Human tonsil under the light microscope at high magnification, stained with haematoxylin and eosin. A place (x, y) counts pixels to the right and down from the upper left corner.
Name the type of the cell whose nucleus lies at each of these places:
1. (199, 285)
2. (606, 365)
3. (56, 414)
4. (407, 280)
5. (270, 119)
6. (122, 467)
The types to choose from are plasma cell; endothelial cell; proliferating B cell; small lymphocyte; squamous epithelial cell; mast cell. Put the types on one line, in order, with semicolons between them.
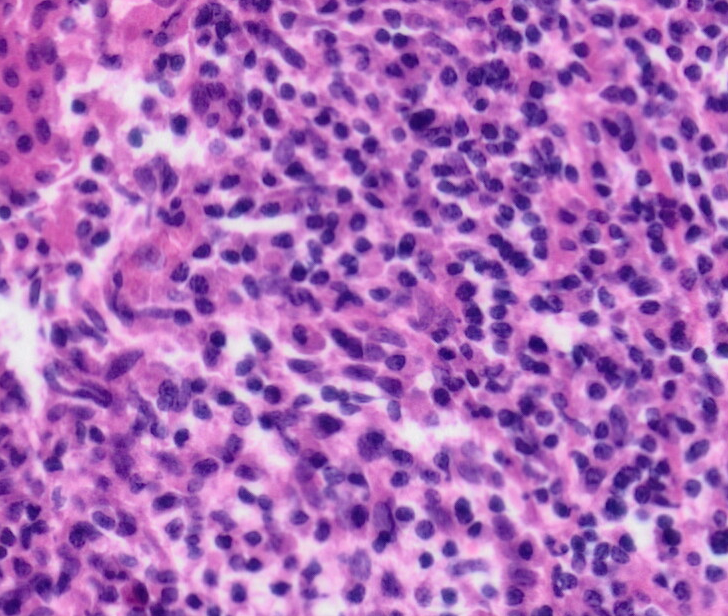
plasma cell; plasma cell; squamous epithelial cell; plasma cell; plasma cell; squamous epithelial cell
